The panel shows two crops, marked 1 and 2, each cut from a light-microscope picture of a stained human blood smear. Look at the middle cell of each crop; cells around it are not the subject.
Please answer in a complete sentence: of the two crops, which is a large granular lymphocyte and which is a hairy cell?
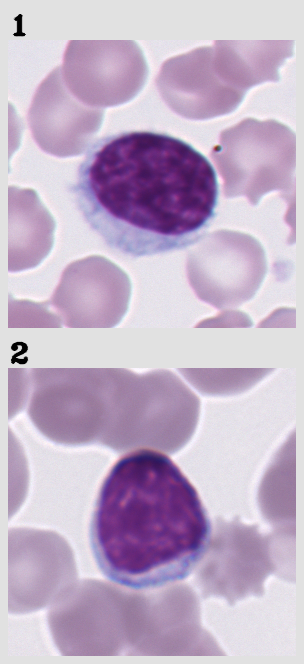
Crop 1 holds a hairy cell; a large granular lymphocyte occupies crop 2.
